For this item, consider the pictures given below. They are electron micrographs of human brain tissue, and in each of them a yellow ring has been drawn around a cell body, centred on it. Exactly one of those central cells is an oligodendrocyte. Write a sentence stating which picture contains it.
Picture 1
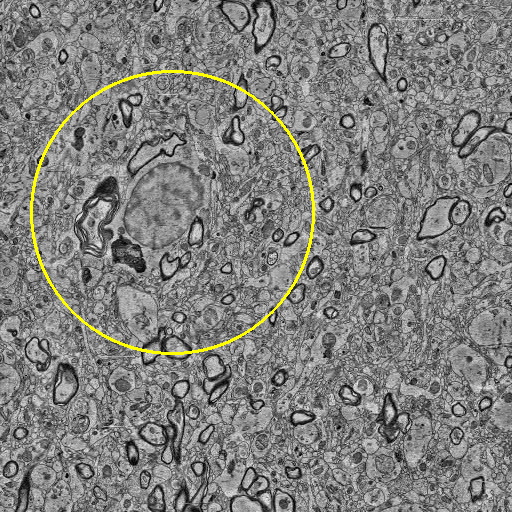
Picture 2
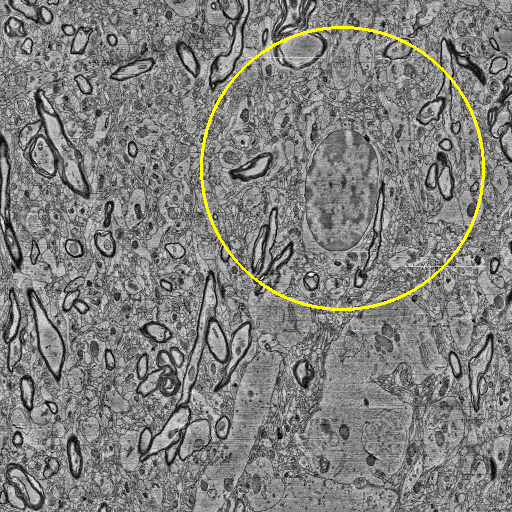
It is in Picture 1.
